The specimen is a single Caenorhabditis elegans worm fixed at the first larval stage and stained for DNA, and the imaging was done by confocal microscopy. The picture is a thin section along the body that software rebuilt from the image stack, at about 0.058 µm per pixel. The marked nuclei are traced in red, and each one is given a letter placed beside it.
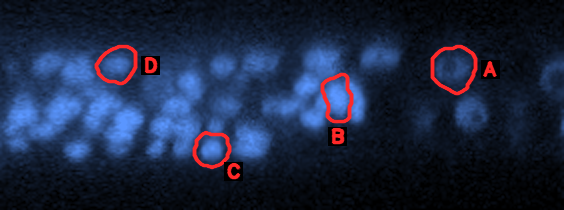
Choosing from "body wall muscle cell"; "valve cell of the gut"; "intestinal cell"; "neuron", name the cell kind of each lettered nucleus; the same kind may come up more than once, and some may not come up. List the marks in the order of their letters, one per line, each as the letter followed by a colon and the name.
A: intestinal cell
B: valve cell of the gut
C: neuron
D: neuron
